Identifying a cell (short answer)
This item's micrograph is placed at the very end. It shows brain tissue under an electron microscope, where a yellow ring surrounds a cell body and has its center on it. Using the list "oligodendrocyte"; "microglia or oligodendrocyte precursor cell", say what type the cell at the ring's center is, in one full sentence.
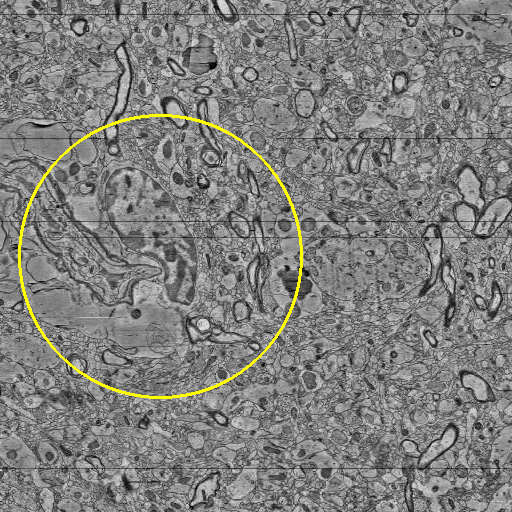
This picture shows a microglial cell or oligodendrocyte precursor cell at the center of the yellow ring drawn on it.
